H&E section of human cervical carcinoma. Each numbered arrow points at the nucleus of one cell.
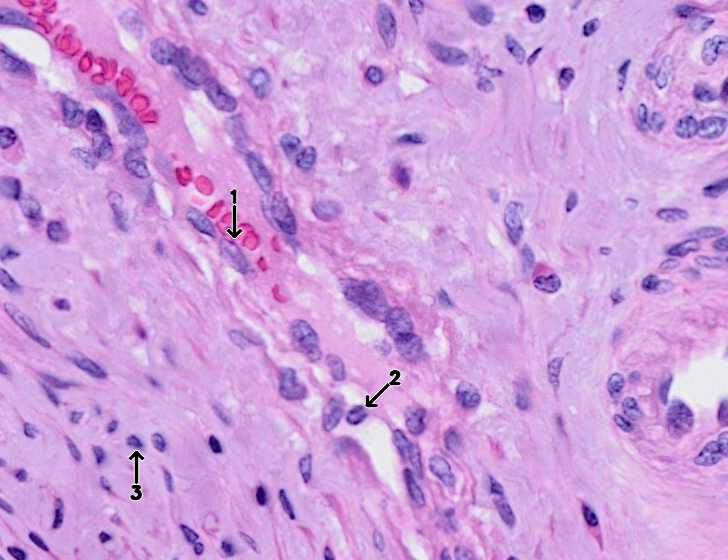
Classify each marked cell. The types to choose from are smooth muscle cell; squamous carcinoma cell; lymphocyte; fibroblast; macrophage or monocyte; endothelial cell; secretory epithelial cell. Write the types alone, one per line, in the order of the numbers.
endothelial cell
lymphocyte
fibroblast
